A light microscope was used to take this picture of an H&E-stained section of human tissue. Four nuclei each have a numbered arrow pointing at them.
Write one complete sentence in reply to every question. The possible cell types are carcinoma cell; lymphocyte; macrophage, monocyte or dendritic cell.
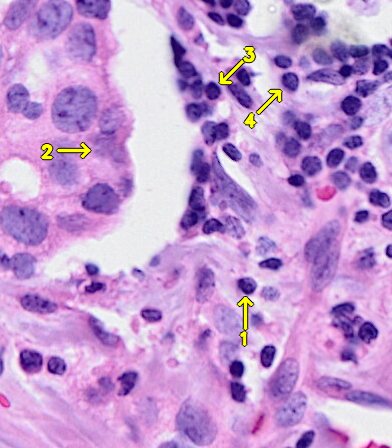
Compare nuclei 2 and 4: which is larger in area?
At about 2 times the area of nucleus 4, nucleus 2 is the larger of the two.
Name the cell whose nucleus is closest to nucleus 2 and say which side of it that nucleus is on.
Just above nucleus 2 lies the nearest nucleus, which belongs to a carcinoma cell.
